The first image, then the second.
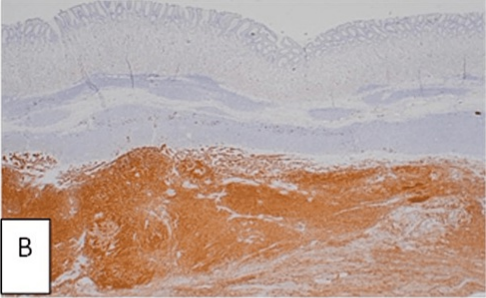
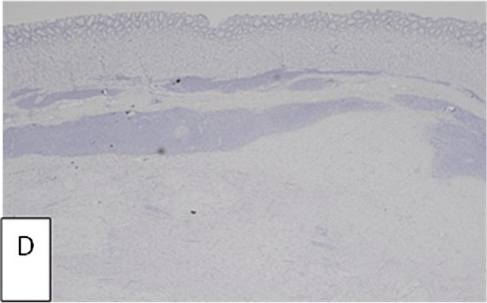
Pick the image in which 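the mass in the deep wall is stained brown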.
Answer: The first image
